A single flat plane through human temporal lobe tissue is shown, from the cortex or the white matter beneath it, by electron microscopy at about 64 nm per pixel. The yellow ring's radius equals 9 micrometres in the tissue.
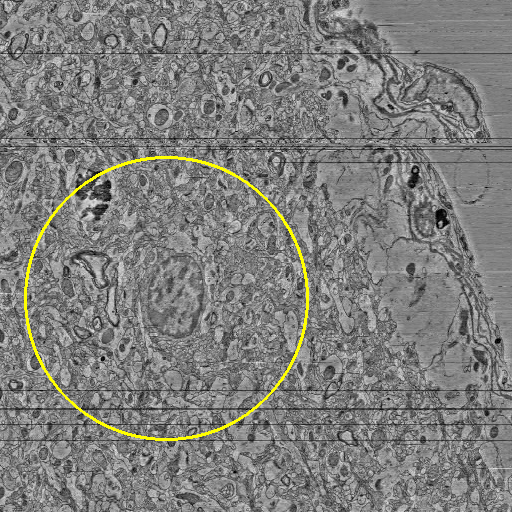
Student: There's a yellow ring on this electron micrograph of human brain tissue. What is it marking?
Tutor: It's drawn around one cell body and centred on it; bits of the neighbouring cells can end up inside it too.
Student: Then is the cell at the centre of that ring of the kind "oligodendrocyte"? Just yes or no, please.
yes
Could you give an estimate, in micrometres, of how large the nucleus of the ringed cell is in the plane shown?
Approximately 5 by 4 micrometers in this plane.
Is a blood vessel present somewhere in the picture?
Yes.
